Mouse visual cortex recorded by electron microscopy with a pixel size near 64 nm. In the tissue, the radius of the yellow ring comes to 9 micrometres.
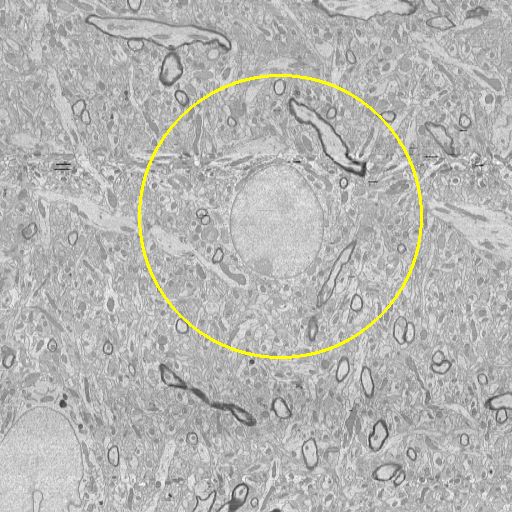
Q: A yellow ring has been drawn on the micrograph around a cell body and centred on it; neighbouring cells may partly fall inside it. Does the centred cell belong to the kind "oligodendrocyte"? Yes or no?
No, it belongs to another kind.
